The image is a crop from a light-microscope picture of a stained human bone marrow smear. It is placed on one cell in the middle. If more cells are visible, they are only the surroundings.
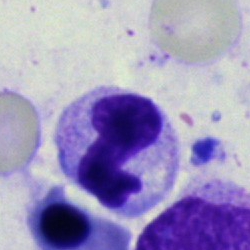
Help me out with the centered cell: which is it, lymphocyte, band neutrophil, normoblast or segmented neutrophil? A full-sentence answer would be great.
The cell marked by its central position in the crop is a band neutrophil.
